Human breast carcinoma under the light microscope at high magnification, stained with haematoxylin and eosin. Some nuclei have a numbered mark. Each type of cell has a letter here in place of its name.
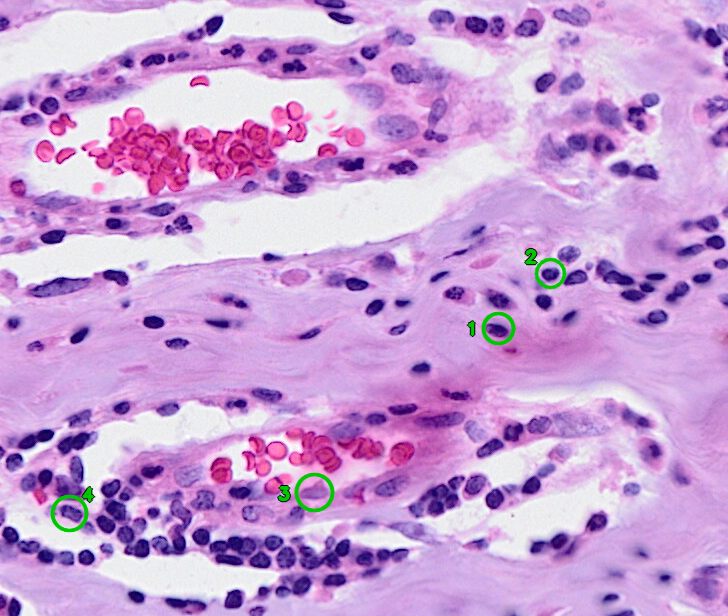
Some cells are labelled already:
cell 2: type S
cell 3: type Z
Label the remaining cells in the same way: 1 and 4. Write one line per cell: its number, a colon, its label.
1: type S
4: type S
